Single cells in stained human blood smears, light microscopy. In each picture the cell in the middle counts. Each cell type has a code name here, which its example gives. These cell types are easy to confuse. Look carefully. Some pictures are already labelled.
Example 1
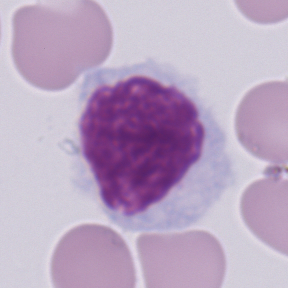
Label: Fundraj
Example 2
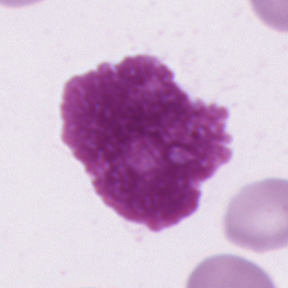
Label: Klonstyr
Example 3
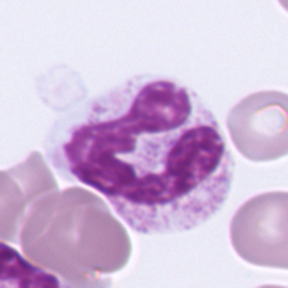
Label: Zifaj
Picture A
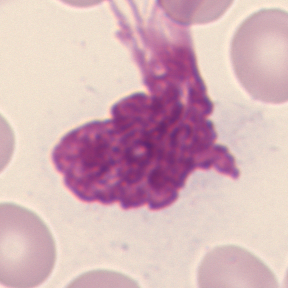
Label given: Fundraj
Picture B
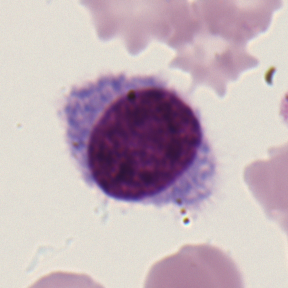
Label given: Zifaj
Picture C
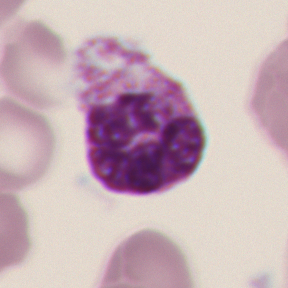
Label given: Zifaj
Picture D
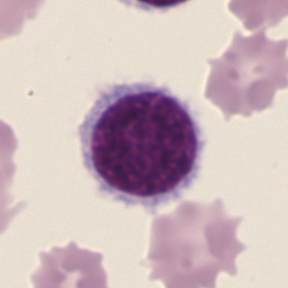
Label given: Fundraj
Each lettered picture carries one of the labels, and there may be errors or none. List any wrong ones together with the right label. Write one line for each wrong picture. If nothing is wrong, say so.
Wrong: A (Fundraj); correct: Klonstyr
Wrong: B (Zifaj); correct: Fundraj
